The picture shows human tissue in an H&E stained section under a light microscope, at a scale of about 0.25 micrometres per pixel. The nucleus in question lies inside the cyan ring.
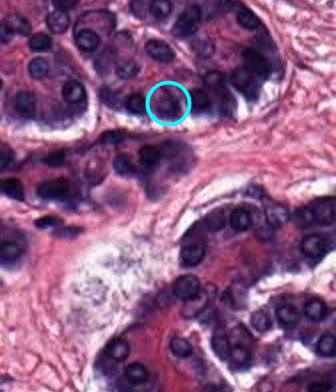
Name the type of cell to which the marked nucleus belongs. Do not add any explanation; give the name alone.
pancreatic acinar cell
